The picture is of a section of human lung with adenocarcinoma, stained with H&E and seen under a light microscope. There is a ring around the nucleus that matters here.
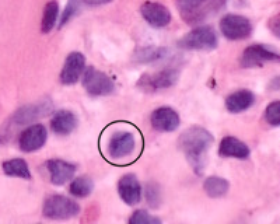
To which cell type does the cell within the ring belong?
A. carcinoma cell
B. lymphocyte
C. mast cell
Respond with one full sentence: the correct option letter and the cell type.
That the cell within the ring is a lymphocyte makes option B the correct choice.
